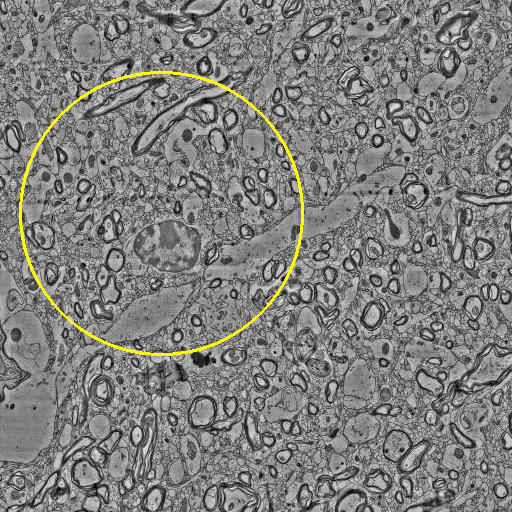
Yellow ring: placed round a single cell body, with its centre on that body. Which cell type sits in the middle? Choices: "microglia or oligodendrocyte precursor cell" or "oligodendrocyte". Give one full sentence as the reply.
It is a microglial cell or oligodendrocyte precursor cell whose cell body sits at the centre of the yellow ring.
